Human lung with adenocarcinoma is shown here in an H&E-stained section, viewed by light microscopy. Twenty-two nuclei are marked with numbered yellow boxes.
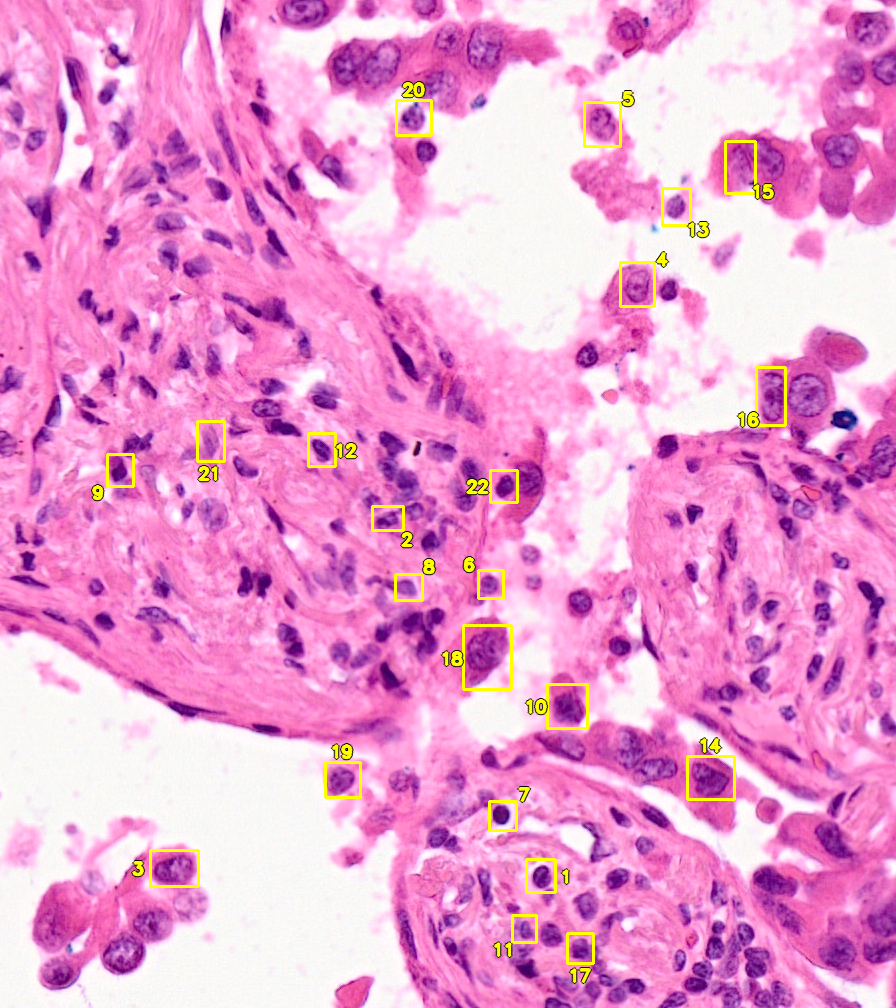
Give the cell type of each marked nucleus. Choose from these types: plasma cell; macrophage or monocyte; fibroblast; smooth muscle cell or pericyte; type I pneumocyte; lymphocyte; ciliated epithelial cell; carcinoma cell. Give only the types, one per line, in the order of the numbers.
lymphocyte
plasma cell
carcinoma cell
macrophage or monocyte
macrophage or monocyte
lymphocyte
lymphocyte
lymphocyte
plasma cell
carcinoma cell
lymphocyte
lymphocyte
lymphocyte
carcinoma cell
carcinoma cell
carcinoma cell
lymphocyte
carcinoma cell
macrophage or monocyte
lymphocyte
fibroblast
lymphocyte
